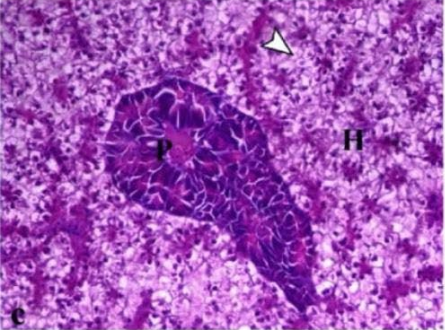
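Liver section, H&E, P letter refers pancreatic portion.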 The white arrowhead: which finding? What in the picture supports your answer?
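Hepatocytes near the arrowhead show pale, finely vacuolated cytoplasm. The parenchyma keeps purple-stained cords between the pale areas. The answer: mild hepatic vacuolation.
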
